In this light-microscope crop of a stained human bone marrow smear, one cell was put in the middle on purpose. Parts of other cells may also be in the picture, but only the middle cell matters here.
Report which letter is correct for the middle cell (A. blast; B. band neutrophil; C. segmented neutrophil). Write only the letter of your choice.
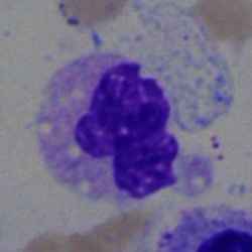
C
